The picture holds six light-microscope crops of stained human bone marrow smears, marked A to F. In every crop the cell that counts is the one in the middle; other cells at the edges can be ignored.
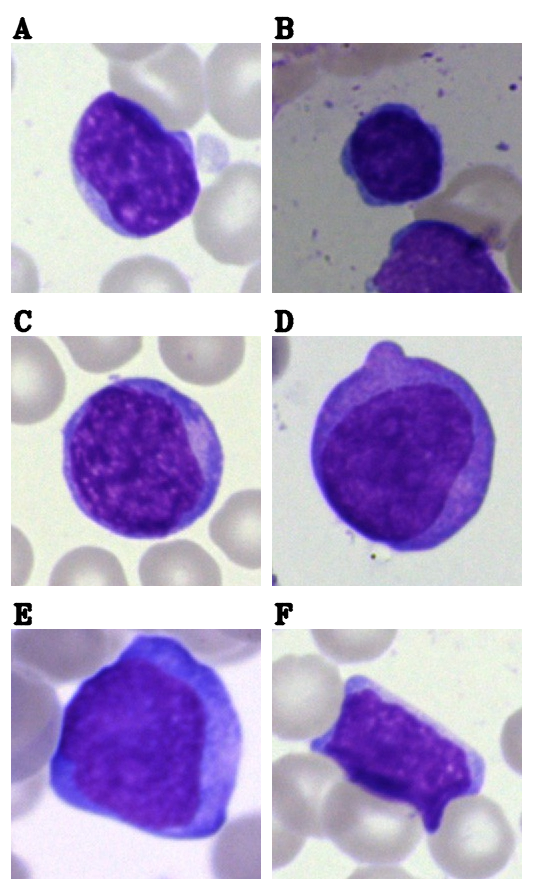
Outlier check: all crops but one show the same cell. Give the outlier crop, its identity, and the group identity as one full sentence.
What sets crop B apart is that it shows a lymphocyte, while the others show blasts.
